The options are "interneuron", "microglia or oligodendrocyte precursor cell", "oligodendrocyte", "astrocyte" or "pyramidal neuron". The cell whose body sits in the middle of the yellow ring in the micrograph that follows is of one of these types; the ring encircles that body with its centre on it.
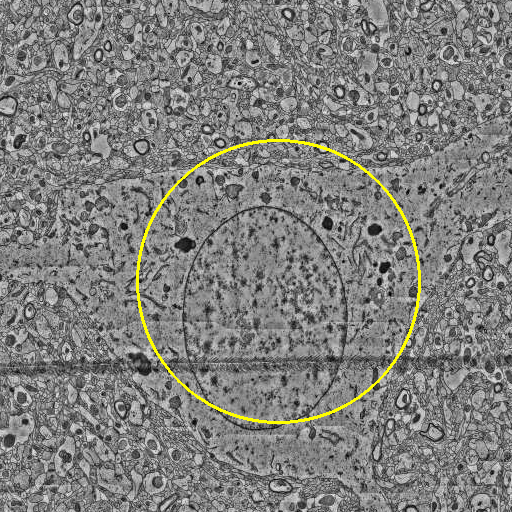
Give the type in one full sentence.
Going by the micrograph, the cell centred in the yellow ring is a pyramidal neuron.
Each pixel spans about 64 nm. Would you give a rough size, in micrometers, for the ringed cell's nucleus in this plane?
Roughly 14 by 11 micrometres is the size of the nucleus in this plane.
